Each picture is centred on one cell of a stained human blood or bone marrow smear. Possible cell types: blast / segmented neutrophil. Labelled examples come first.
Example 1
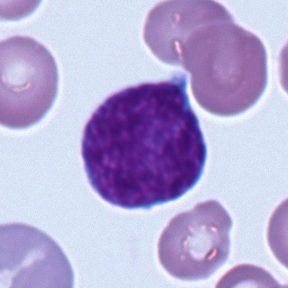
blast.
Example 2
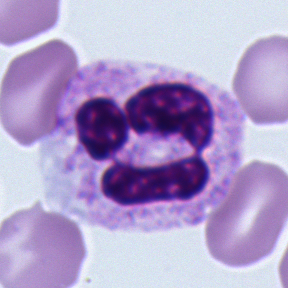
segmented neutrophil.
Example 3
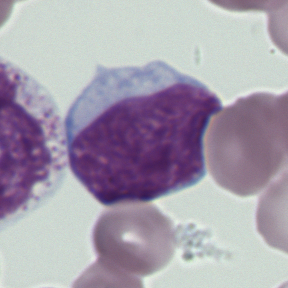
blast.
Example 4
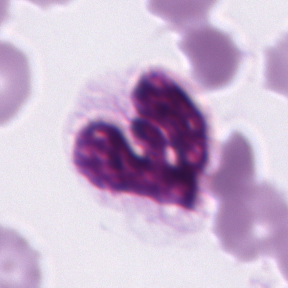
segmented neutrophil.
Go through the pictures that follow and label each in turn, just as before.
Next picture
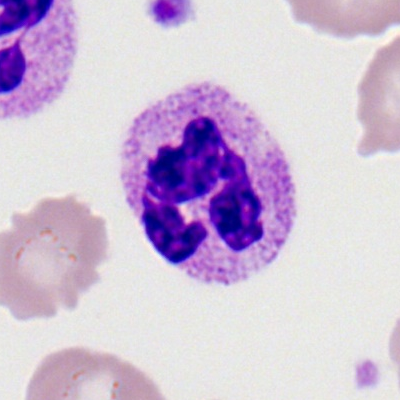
segmented neutrophil.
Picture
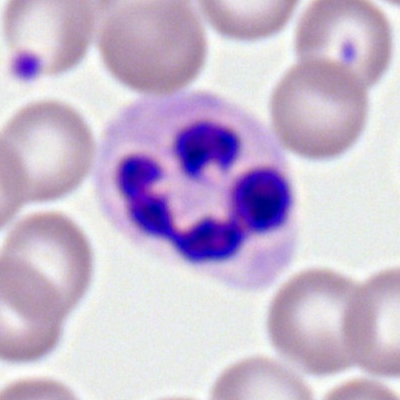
segmented neutrophil.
